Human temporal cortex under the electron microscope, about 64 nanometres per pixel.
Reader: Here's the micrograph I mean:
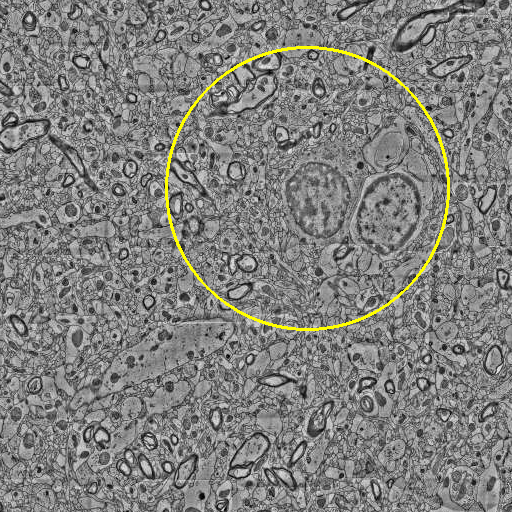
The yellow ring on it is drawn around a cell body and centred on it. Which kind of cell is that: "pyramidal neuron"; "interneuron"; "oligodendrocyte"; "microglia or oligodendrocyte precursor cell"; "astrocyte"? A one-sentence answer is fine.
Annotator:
The ring is centred on an oligodendrocyte.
